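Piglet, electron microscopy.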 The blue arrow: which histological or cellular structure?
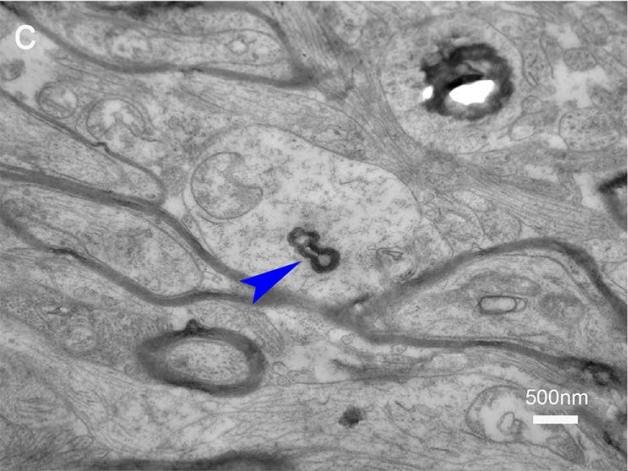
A: autophagosome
